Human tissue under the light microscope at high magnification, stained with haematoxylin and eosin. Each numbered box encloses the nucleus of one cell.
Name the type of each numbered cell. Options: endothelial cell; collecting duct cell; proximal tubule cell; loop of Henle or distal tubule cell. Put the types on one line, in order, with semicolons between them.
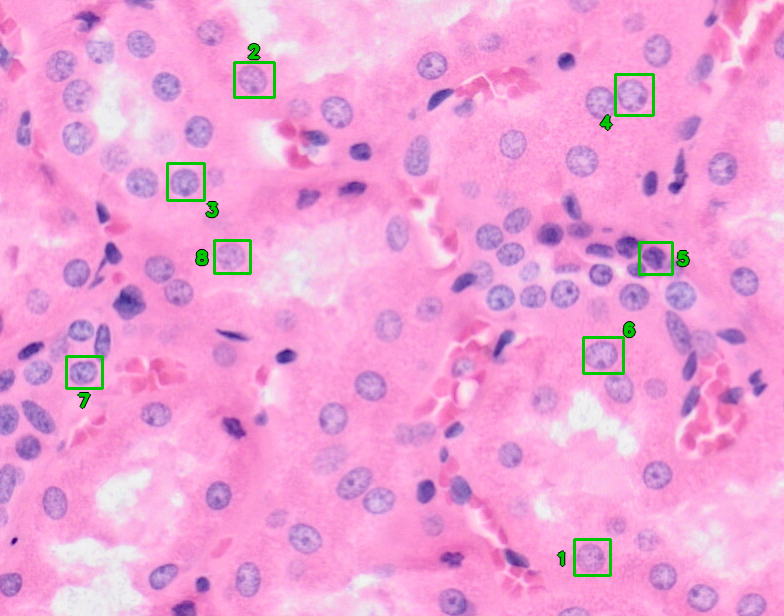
proximal tubule cell; proximal tubule cell; loop of Henle or distal tubule cell; proximal tubule cell; collecting duct cell; proximal tubule cell; collecting duct cell; proximal tubule cell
